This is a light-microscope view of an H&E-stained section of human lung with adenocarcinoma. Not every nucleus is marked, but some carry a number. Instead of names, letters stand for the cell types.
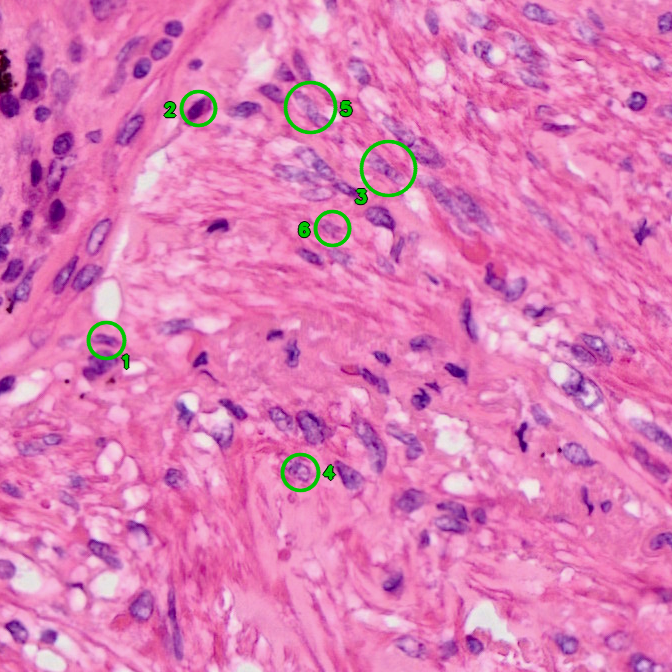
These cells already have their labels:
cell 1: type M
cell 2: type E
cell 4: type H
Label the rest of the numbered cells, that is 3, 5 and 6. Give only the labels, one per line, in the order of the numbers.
type H
type H
type H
